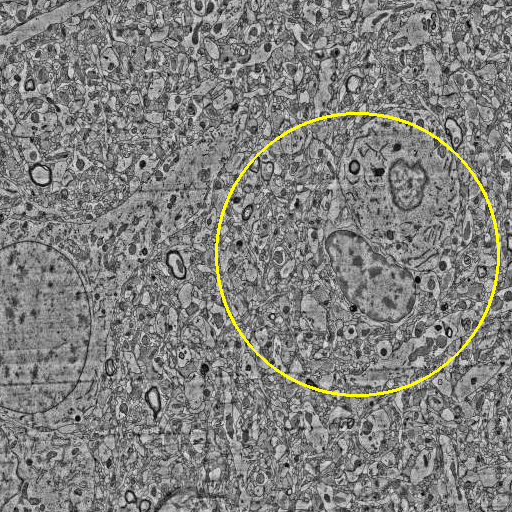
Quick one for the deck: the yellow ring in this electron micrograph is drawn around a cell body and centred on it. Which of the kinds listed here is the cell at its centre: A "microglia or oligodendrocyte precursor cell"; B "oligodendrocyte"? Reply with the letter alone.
A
